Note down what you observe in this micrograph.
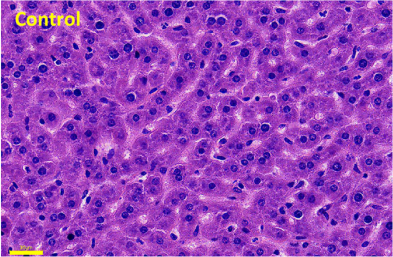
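This is liver tissue made of polygonal hepatocytes arranged in plates. Each hepatocyte has pink, evenly granular cytoplasm and a round, purple central nucleus, some cells having two nuclei. Between the hepatocyte plates run narrow pale spaces, the sinusoids, lined by small flattened dark nuclei. The cytoplasm is uniform without the clear vacuoles or the dense, dark dying cells seen in damaged liver.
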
